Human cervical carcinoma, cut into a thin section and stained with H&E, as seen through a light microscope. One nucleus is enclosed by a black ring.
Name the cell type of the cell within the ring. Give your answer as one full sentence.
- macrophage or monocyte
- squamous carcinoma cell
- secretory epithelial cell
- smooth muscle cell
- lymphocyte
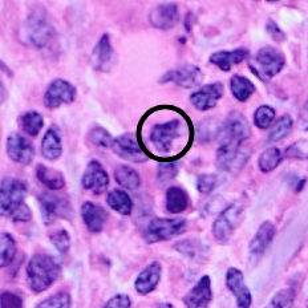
The cell meant here is a lymphocyte.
